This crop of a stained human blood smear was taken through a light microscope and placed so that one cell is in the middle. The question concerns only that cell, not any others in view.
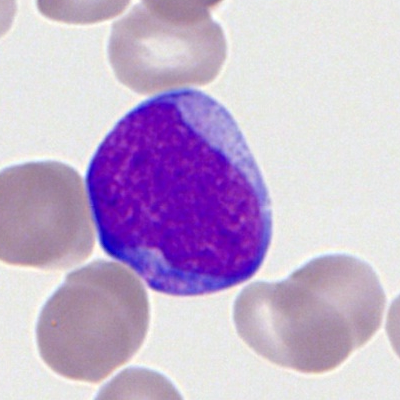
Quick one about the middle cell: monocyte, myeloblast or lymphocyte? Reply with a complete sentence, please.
Where the crop is centred, there is a myeloblast.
